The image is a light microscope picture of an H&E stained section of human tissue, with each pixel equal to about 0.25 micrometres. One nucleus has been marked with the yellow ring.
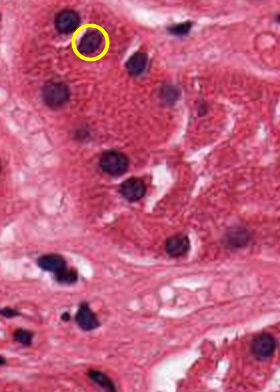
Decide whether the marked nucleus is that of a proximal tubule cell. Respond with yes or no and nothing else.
yes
